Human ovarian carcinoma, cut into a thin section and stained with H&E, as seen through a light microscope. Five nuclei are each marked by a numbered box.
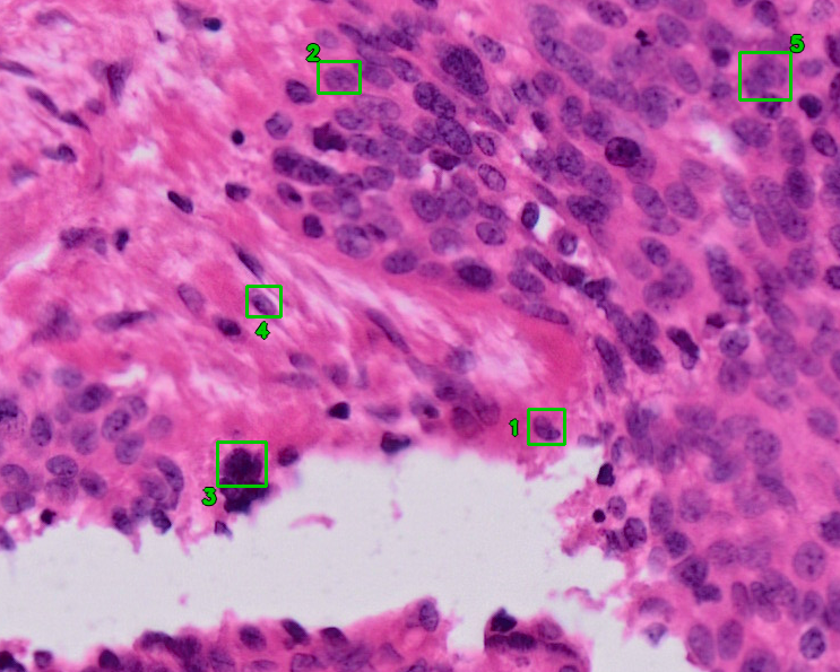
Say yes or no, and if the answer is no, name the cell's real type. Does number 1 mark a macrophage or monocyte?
Yes.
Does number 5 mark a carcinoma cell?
Yes.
